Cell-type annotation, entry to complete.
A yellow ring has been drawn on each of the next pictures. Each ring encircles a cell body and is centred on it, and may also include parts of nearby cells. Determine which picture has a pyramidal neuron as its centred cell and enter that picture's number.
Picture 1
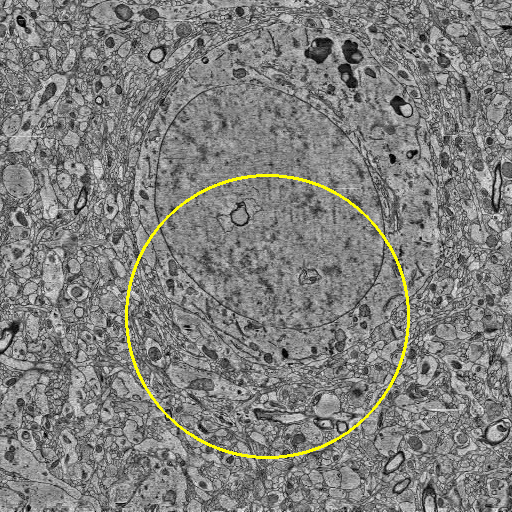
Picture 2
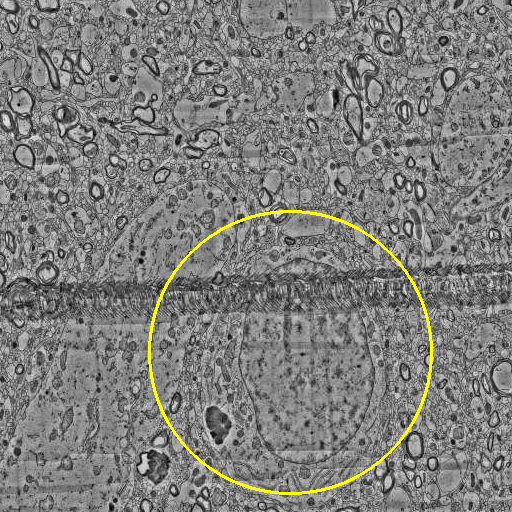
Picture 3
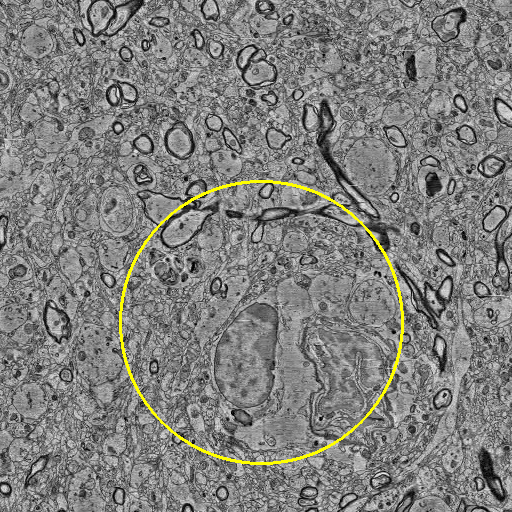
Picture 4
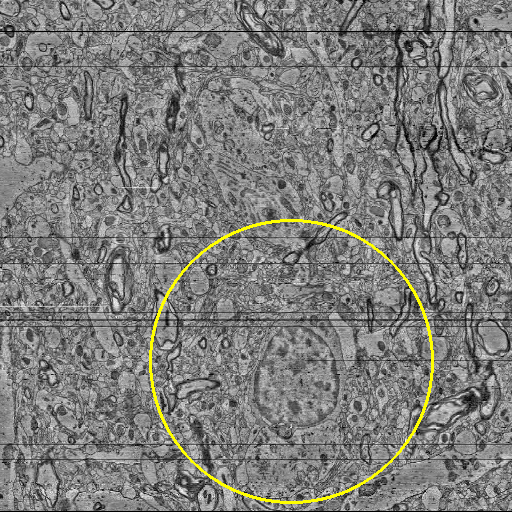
1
